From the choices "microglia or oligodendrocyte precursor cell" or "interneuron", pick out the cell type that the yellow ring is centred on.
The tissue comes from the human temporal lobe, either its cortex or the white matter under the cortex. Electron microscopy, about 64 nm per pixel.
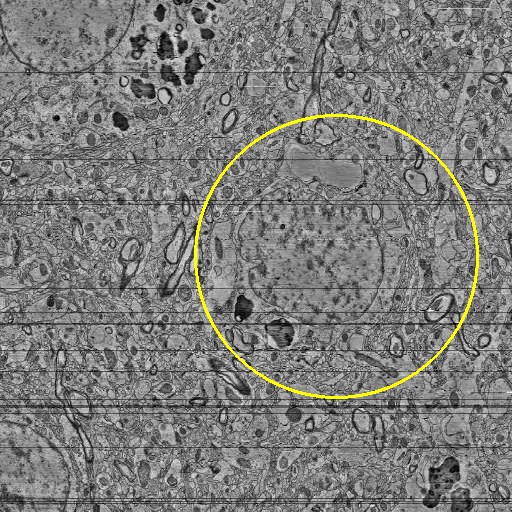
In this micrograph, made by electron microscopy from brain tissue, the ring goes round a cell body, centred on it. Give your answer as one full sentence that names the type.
The yellow ring is centred on an interneuron, whose cell body it encircles in the picture.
